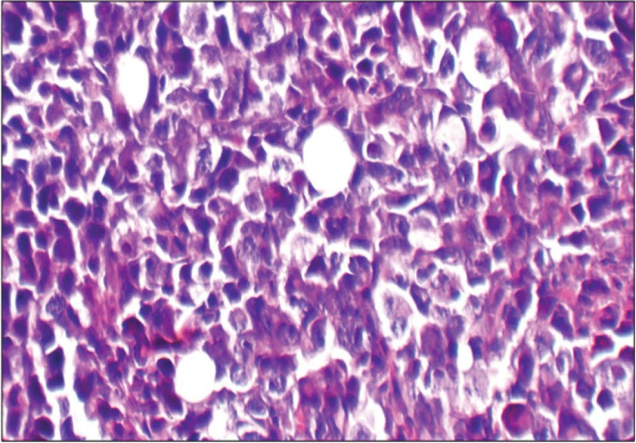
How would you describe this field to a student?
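This is a high-power view of a solid tumor made of densely packed, markedly pleomorphic tumor cells. Their nuclei are large, dark purple and vary widely in size and shape. Some cells are bigger, with more pale pink cytoplasm, and a few round clear spaces lie scattered among them.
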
